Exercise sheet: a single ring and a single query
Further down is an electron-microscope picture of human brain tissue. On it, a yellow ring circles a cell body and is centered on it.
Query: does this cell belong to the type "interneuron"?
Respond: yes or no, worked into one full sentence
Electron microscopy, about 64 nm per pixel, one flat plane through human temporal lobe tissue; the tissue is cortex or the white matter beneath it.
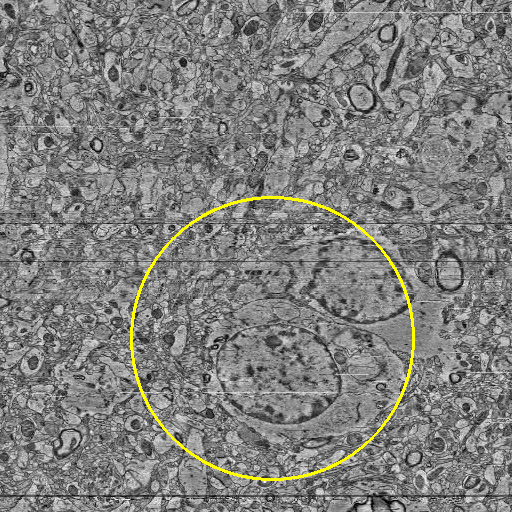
No, this ringed cell, found at the center of the ring in the picture, is of a different type.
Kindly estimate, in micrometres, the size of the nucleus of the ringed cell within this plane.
Roughly 8 by 6 micrometres in this plane, for the nucleus of the ringed cell.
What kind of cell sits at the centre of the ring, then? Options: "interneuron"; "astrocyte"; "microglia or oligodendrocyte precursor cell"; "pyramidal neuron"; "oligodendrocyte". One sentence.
The cell ringed in the picture is an astrocyte.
